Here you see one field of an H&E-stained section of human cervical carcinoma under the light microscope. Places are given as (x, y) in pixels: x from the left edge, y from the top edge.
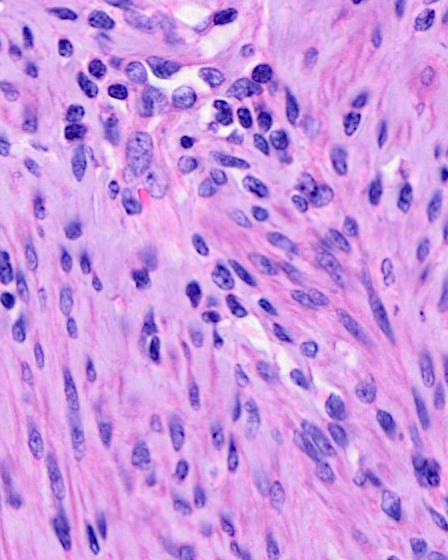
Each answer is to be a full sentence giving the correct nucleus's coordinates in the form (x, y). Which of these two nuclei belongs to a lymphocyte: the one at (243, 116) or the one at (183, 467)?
Of the two candidate nuclei, the one at (243, 116) is that of a lymphocyte.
